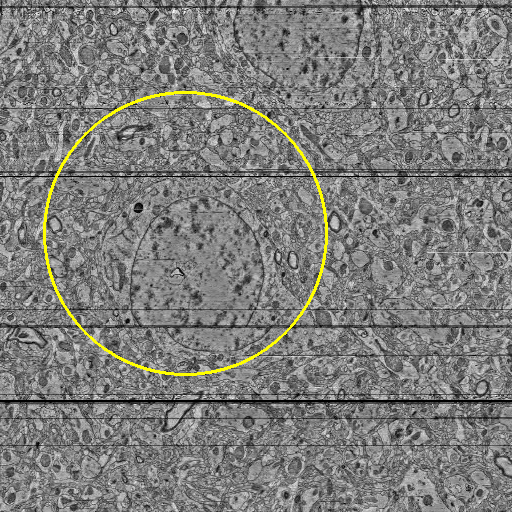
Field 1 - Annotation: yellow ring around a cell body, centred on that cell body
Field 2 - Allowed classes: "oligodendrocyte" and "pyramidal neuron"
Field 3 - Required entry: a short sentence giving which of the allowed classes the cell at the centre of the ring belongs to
The centred cell is a pyramidal neuron.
